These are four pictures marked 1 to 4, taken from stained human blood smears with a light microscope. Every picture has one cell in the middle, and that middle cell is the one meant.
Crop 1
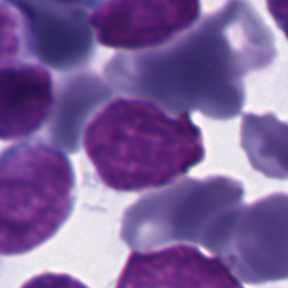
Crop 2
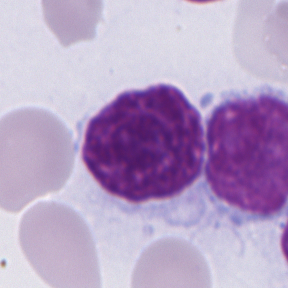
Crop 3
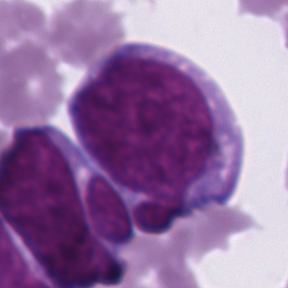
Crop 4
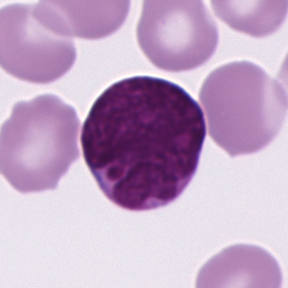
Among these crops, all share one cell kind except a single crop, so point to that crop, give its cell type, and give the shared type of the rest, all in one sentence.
The central cell of crop 1 is a smudge cell, while the other crops show myeloblasts.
